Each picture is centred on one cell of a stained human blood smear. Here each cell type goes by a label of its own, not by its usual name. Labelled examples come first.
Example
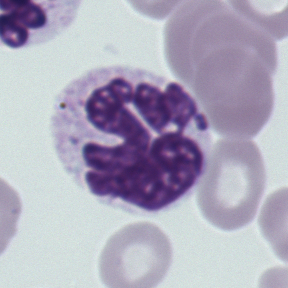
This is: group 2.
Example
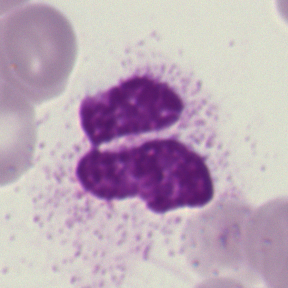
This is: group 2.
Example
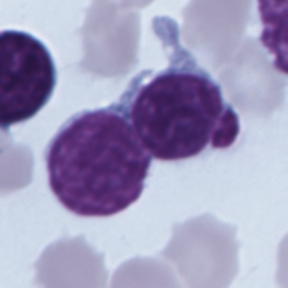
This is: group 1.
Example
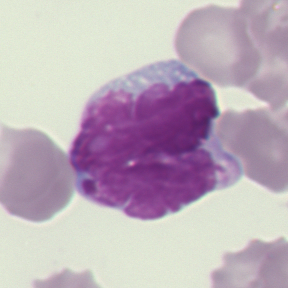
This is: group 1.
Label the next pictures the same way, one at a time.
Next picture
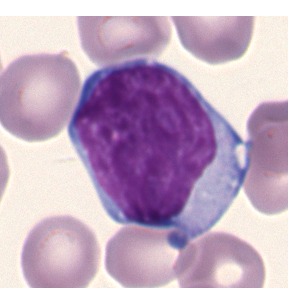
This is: group 1.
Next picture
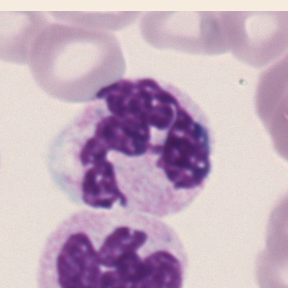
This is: group 2.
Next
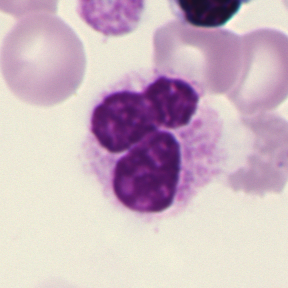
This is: group 2.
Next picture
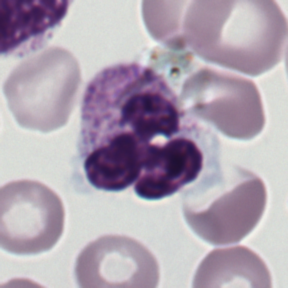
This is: group 2.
